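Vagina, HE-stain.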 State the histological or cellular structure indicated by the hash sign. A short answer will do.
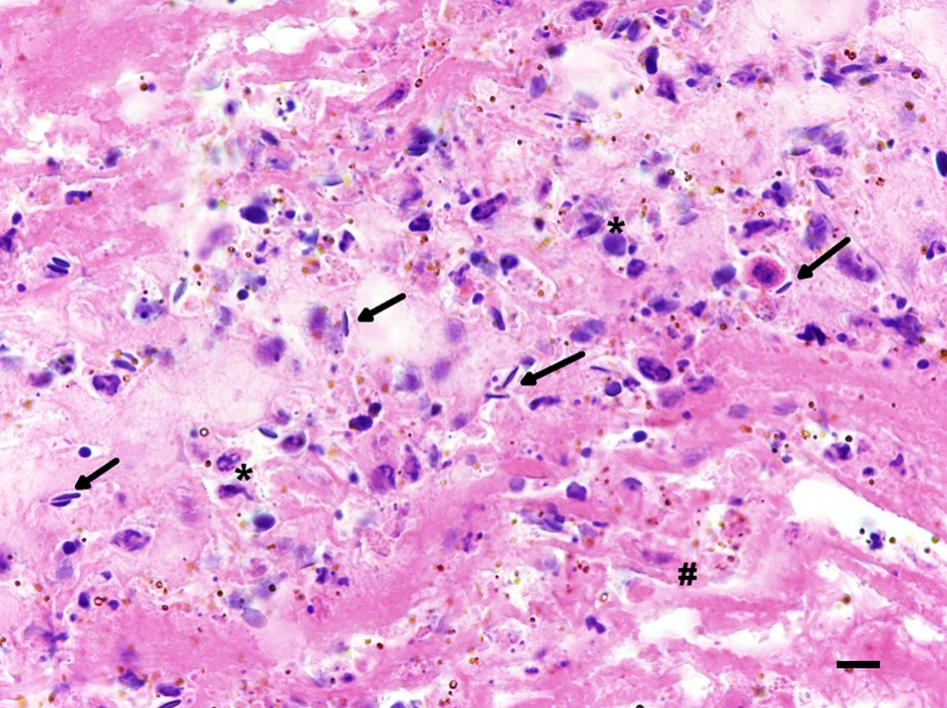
Meshwork of fibrin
